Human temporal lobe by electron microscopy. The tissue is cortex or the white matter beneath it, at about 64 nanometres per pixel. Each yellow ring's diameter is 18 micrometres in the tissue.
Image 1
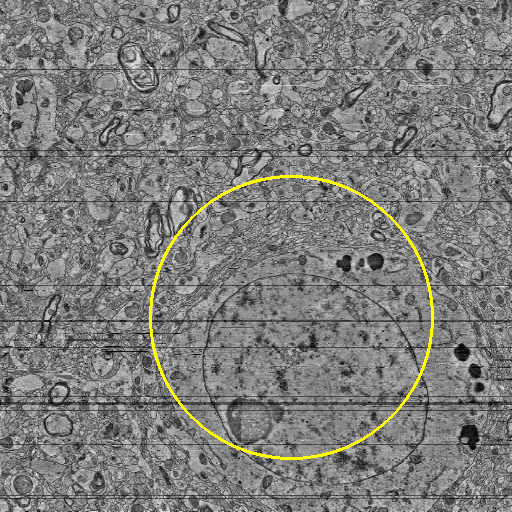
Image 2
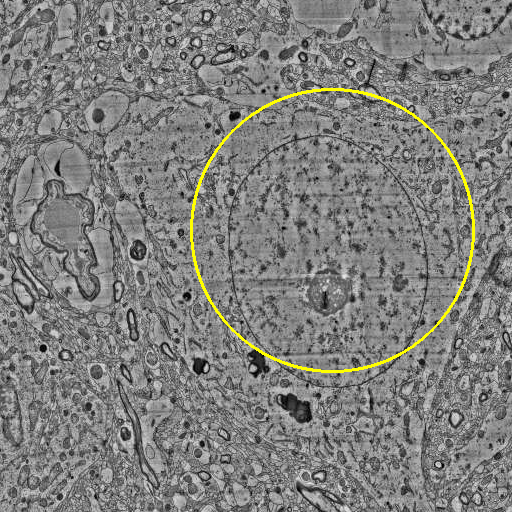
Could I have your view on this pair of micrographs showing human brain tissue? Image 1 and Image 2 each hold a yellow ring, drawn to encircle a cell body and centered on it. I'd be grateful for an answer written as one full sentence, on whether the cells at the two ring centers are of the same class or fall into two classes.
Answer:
The cells at the centers of the two rings are of the same class.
